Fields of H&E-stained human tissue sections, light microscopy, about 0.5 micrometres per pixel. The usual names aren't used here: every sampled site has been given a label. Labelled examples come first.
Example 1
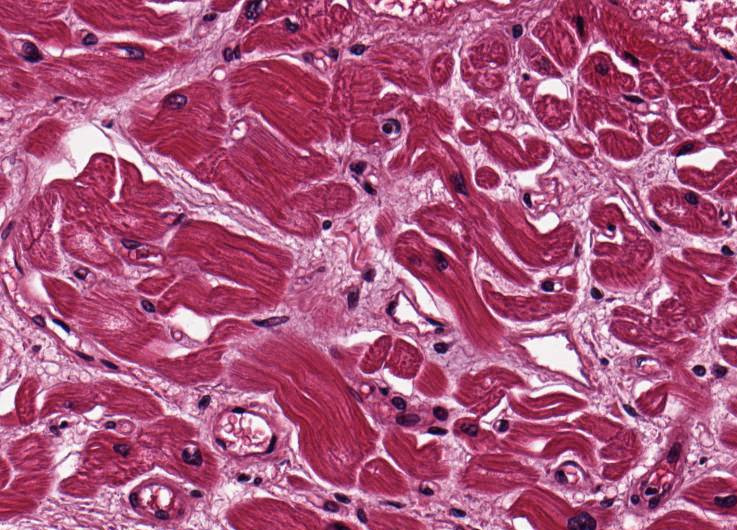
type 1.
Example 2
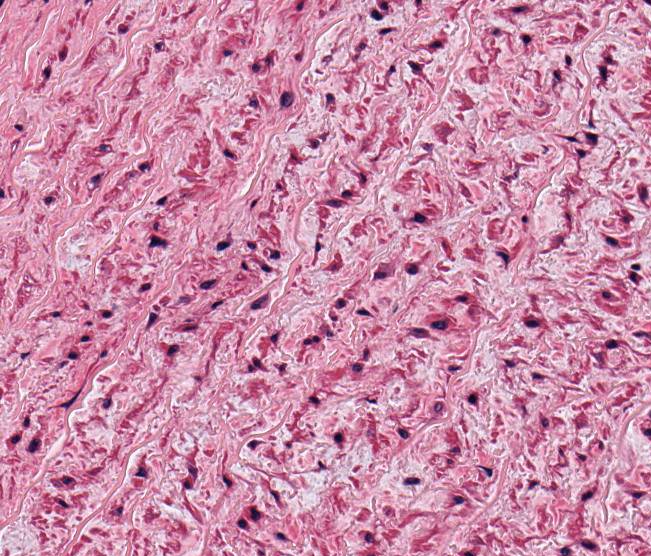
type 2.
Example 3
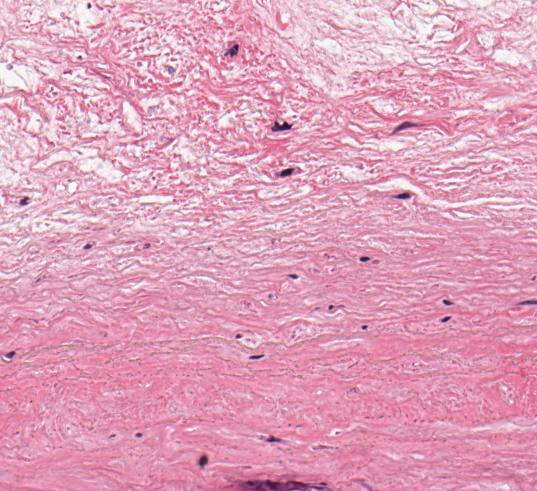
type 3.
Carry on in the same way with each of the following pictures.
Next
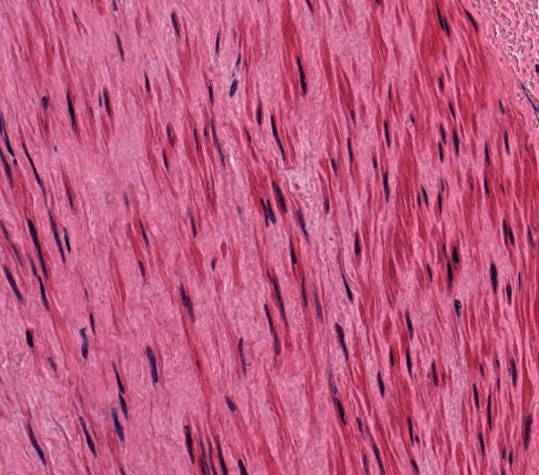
type 3.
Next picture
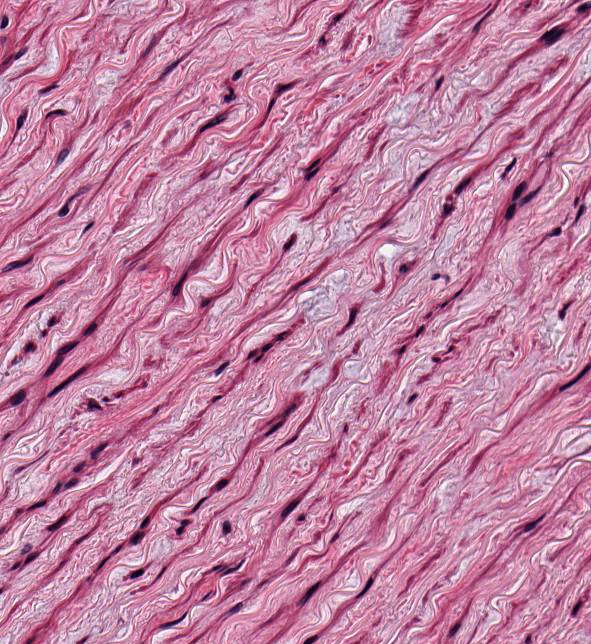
type 2.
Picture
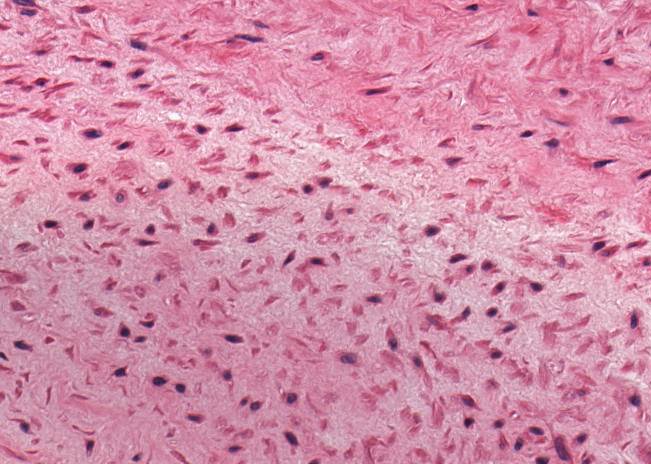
type 3.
